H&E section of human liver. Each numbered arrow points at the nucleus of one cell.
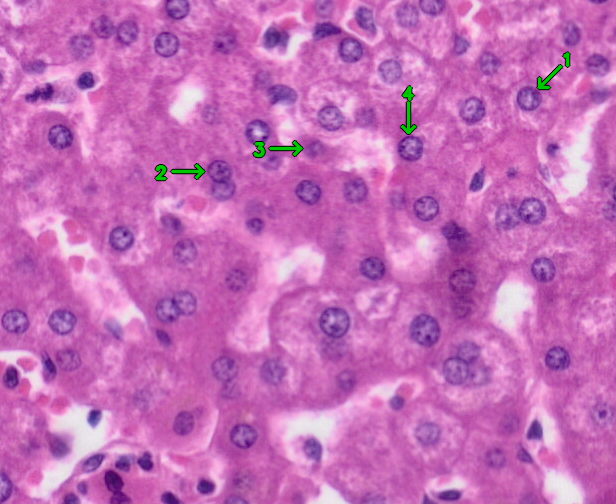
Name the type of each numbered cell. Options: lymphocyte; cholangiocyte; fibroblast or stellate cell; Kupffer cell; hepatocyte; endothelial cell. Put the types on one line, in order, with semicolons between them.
hepatocyte; hepatocyte; Kupffer cell; hepatocyte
